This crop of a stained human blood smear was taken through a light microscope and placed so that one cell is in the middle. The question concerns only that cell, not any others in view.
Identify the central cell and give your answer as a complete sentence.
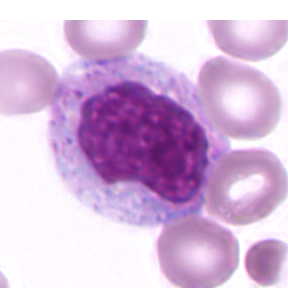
In this smear crop, the middle cell is a metamyelocyte.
